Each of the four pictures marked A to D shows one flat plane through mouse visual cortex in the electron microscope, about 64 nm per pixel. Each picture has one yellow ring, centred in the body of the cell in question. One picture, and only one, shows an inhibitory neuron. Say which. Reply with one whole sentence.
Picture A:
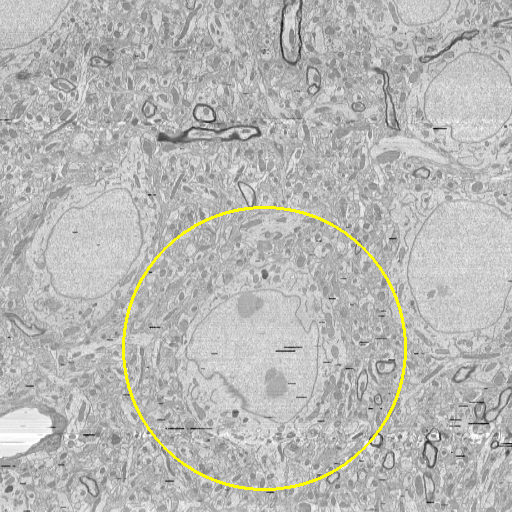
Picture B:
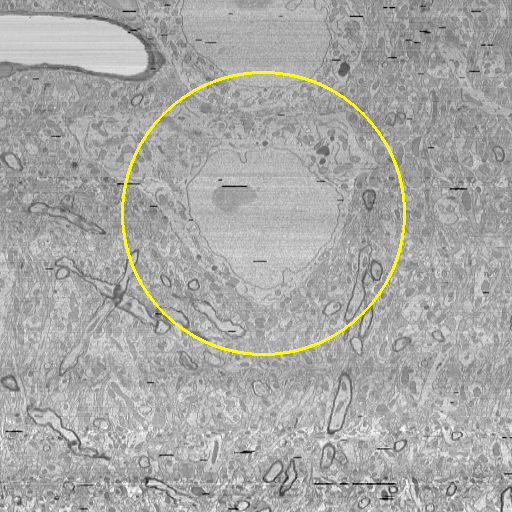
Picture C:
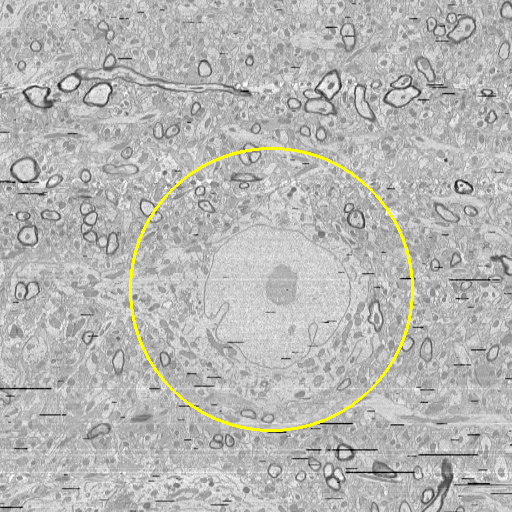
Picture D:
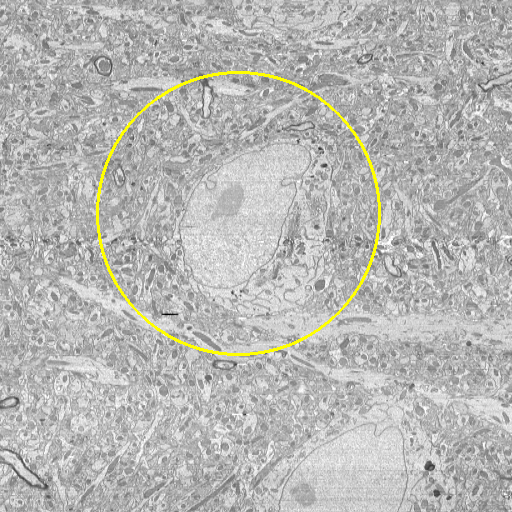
The cell in picture D is the inhibitory neuron.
